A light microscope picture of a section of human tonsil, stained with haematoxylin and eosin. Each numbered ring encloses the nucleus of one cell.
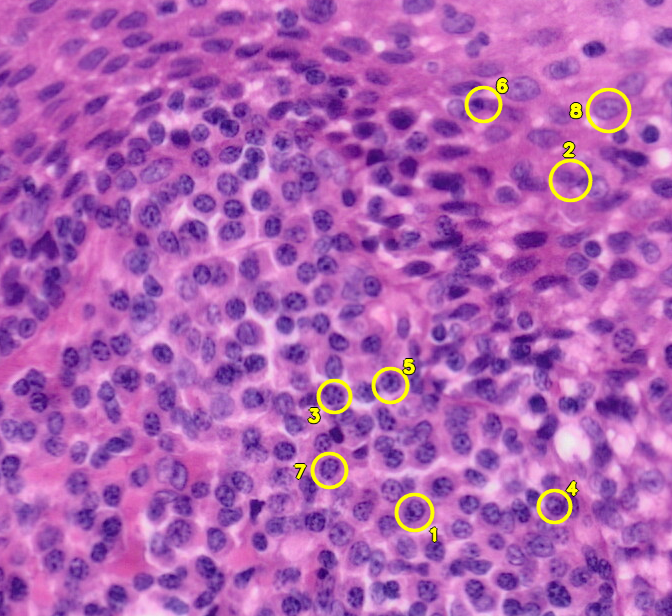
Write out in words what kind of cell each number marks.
Cells 1, 3, 4, 5 and 7 are plasma cells. Cells 2, 6 and 8 are squamous epithelial cells.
